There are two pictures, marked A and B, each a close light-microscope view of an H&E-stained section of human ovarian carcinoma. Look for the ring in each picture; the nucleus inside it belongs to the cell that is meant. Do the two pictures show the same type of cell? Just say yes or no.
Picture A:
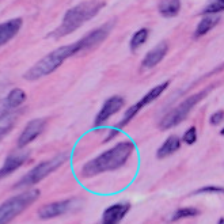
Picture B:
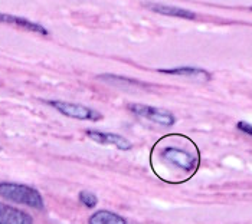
no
